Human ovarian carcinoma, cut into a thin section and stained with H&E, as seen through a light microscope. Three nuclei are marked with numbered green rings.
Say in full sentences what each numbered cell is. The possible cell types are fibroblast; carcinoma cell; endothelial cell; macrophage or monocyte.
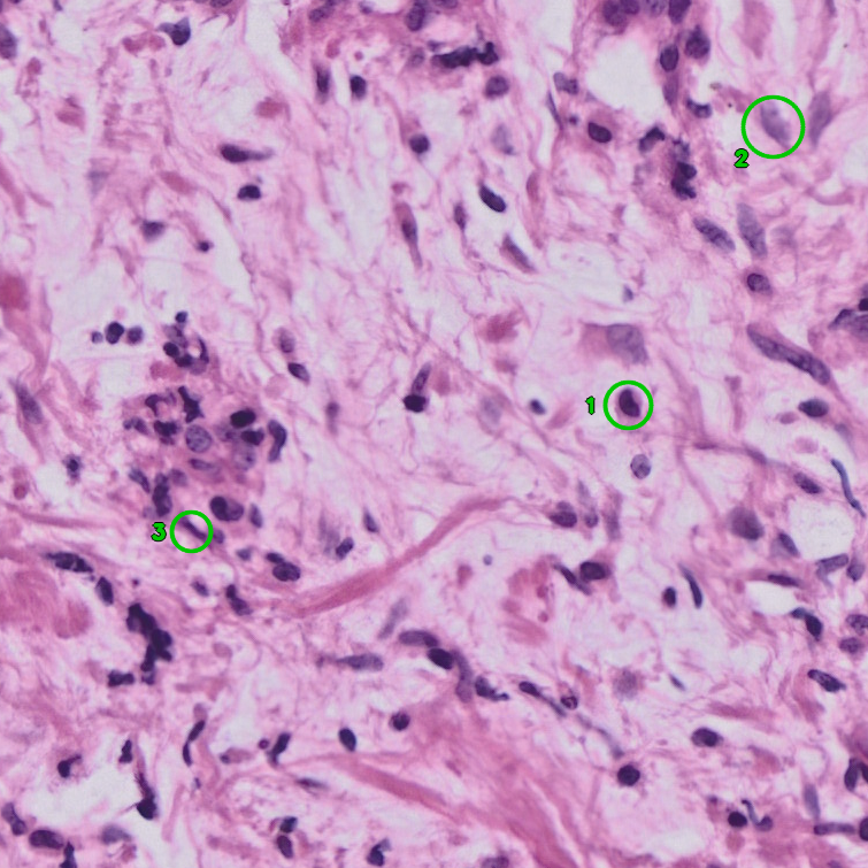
Cell 1 is a macrophage or monocyte, cell 2 is a fibroblast and cell 3 is a fibroblast.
